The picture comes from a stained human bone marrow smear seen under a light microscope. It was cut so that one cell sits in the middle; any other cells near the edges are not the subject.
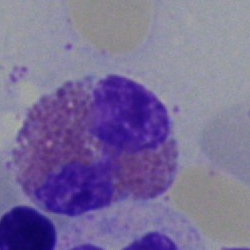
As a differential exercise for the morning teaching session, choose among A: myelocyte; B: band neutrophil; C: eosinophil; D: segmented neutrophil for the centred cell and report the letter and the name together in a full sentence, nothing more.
That the central cell is an eosinophil makes option C correct.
